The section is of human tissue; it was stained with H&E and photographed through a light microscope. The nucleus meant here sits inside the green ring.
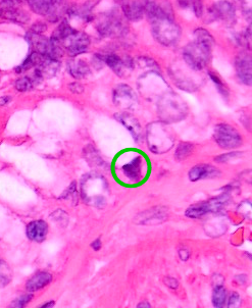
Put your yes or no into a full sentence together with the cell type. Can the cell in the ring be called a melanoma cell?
No, just to correct that, the cell in the ring is a ciliated epithelial cell and not a melanoma cell.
